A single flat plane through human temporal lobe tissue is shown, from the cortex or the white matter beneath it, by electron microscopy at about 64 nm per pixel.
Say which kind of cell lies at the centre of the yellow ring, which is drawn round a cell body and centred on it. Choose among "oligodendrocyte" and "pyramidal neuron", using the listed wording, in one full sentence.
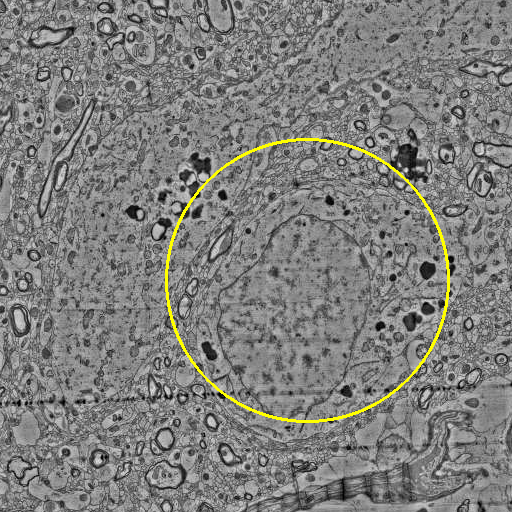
Going by the list, the cell at the yellow ring's centre is a pyramidal neuron.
